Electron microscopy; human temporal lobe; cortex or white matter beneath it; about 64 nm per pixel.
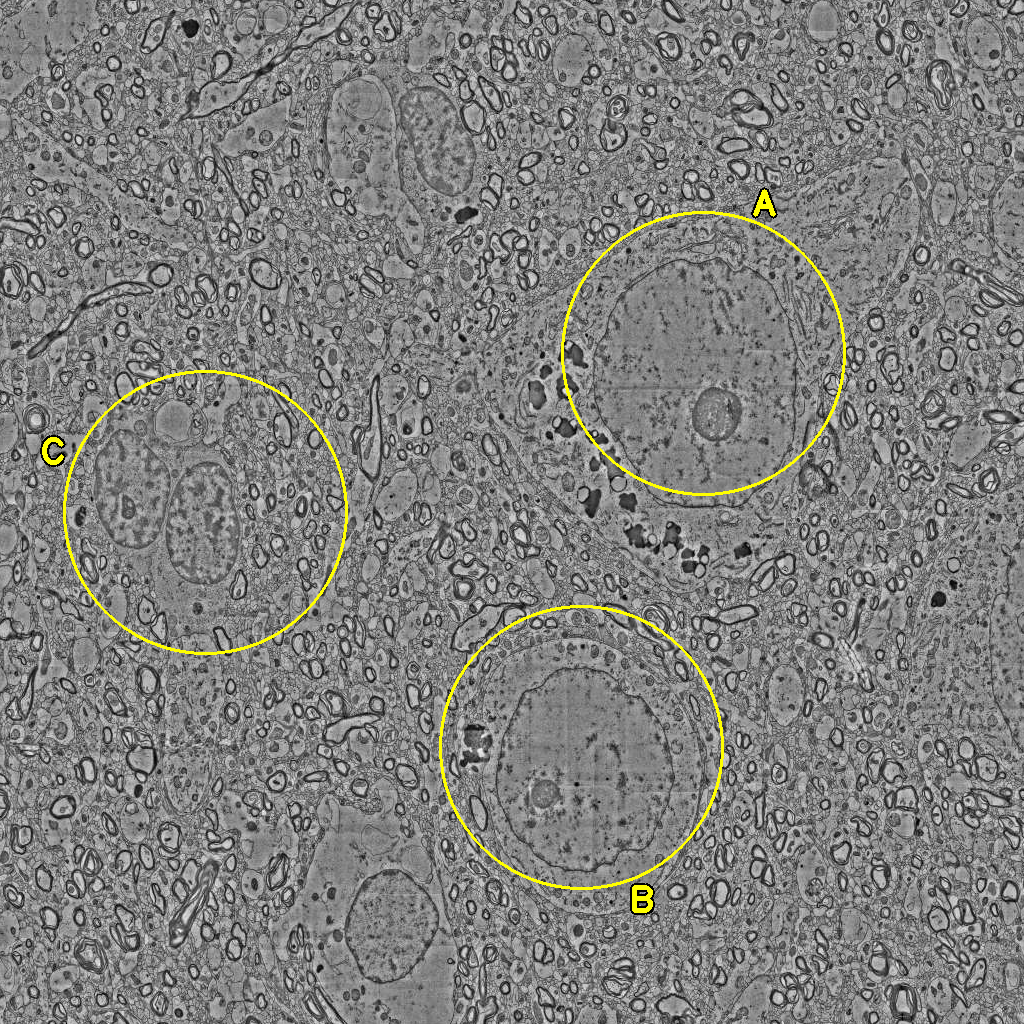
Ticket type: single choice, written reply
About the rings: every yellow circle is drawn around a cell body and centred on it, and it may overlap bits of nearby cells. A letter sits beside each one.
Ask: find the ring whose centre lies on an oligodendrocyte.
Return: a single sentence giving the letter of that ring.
At the centre of the ring marked C lies the cell asked for.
